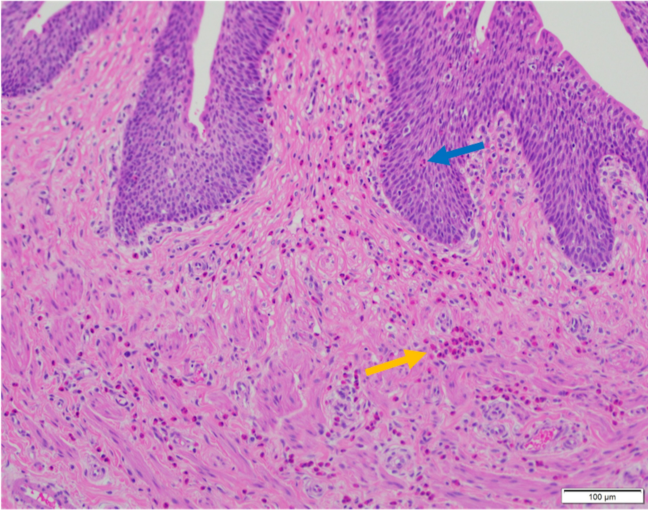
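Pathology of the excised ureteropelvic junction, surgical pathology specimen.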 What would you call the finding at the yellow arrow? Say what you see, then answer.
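A cluster of cells with red cytoplasm lies in the connective tissue below the epithelium. Many similar red cells are scattered through the stroma.
Eosinophilic infiltrates.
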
